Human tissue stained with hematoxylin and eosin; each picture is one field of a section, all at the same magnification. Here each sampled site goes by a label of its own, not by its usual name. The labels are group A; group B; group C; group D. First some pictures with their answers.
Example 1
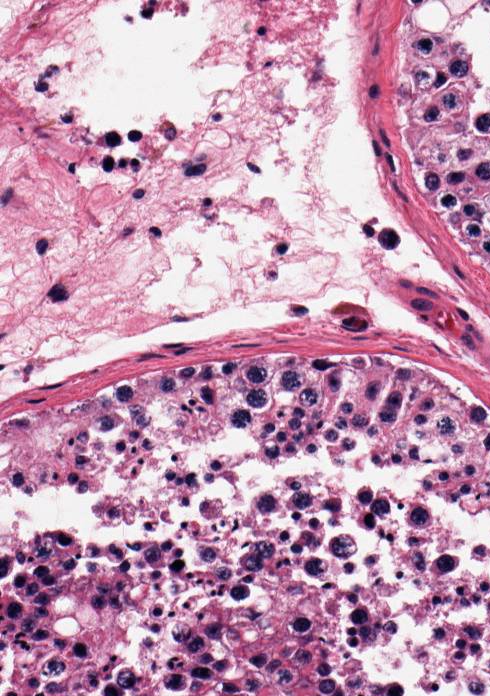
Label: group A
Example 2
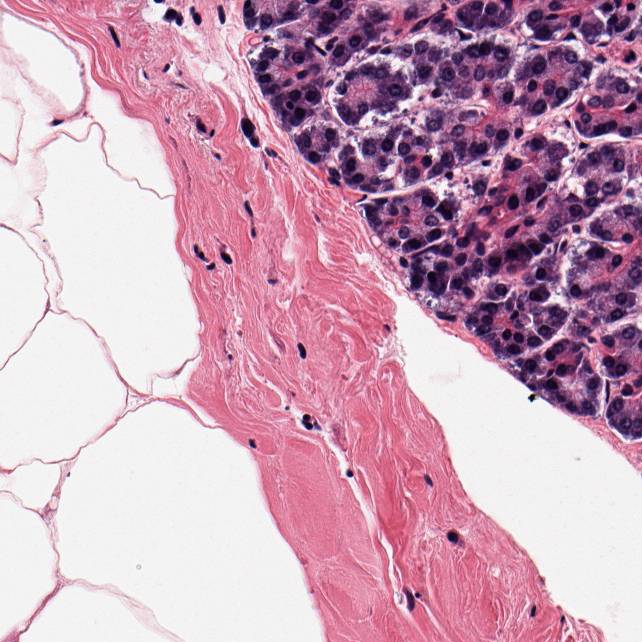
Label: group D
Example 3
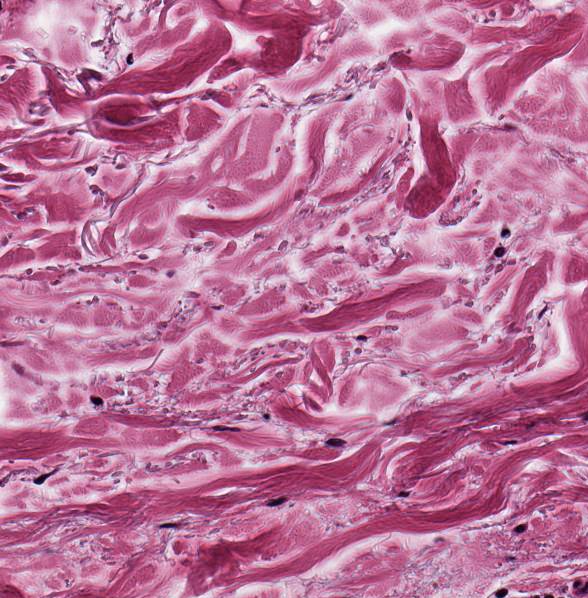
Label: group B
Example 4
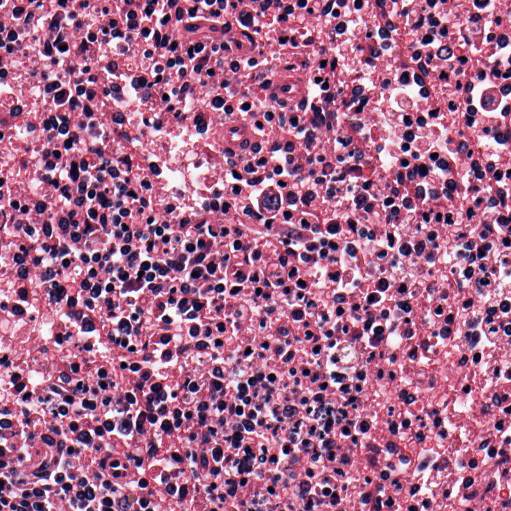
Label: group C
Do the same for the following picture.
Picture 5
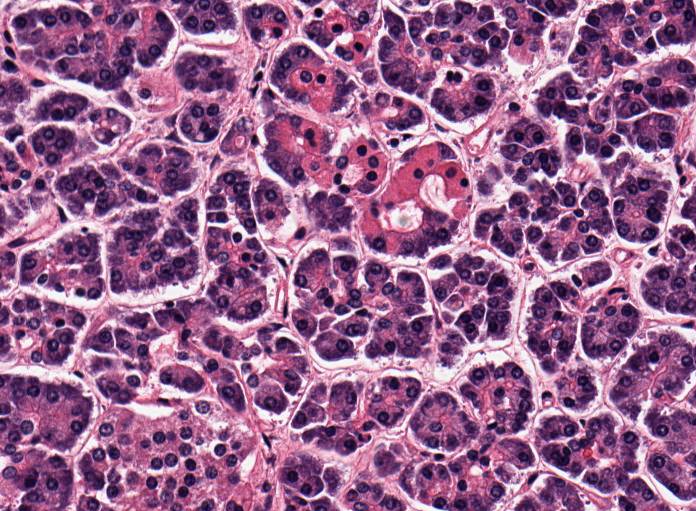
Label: group D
